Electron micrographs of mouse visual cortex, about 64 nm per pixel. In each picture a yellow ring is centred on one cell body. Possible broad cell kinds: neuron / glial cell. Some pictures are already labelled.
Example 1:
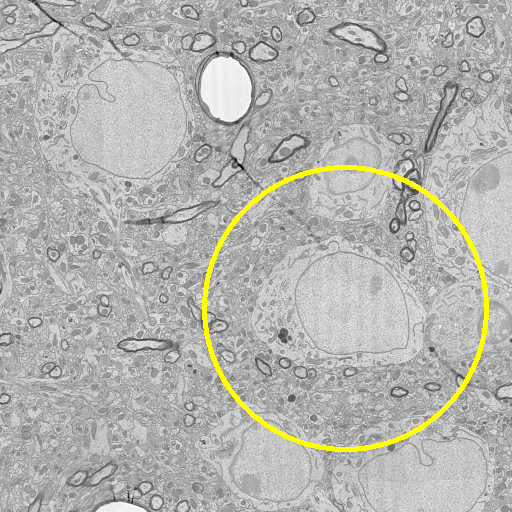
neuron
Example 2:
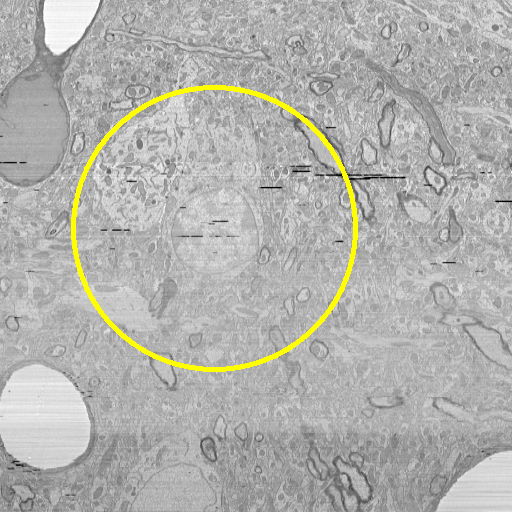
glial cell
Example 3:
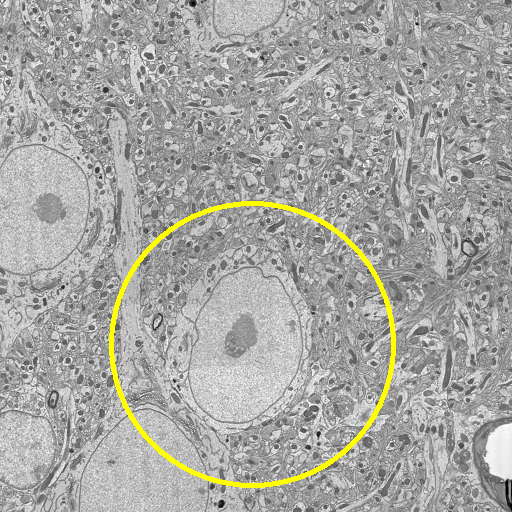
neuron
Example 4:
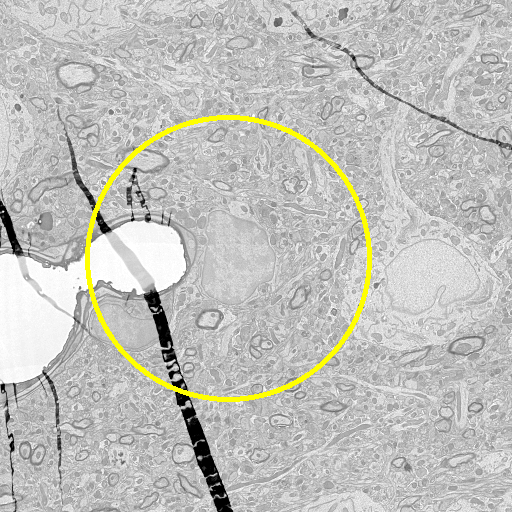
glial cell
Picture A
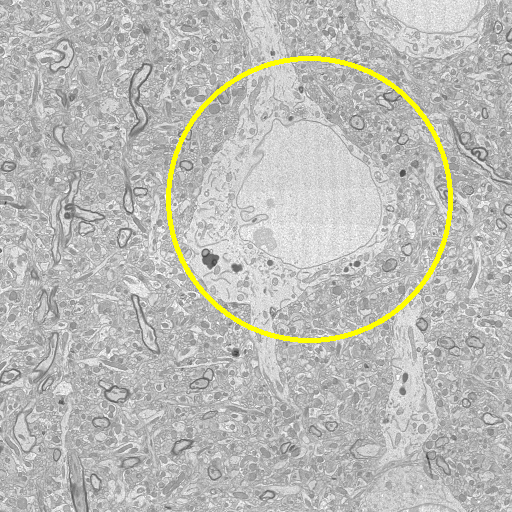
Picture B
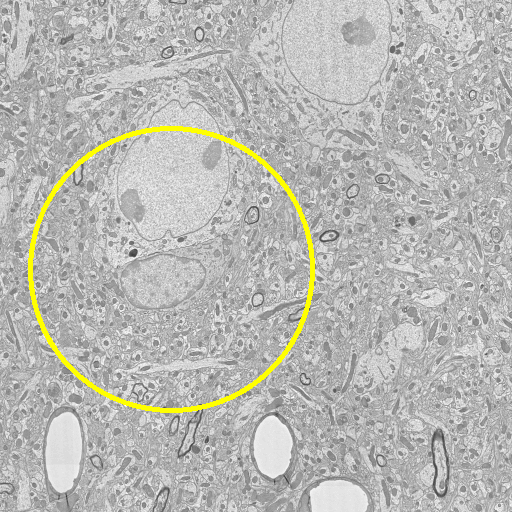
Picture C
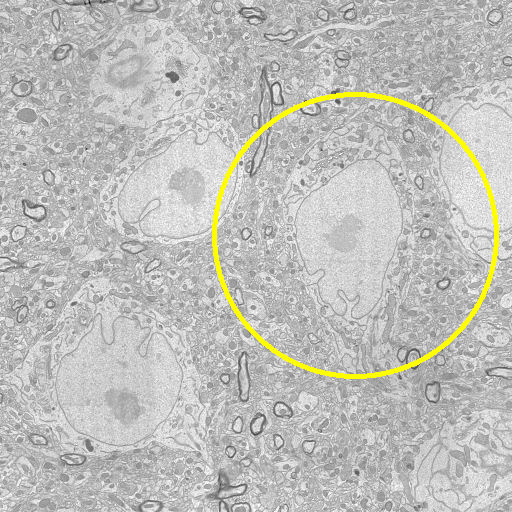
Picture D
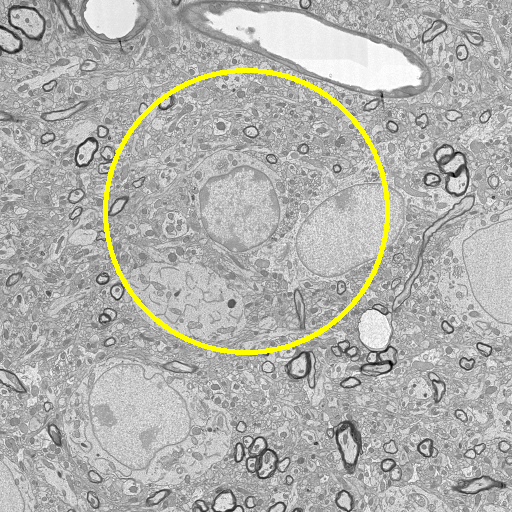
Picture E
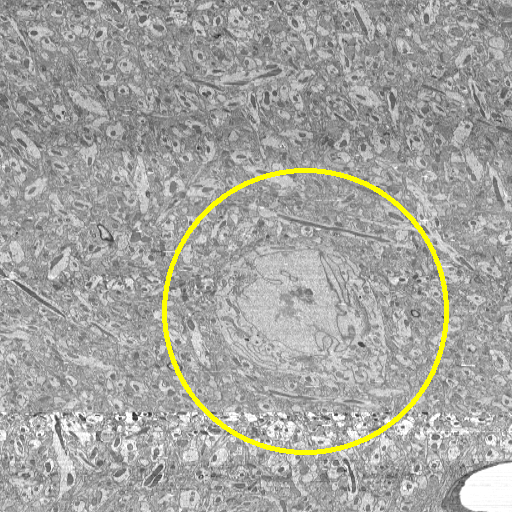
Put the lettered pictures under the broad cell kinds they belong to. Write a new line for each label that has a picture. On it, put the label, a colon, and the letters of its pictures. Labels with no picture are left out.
neuron: A, C, E
glial cell: B, D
